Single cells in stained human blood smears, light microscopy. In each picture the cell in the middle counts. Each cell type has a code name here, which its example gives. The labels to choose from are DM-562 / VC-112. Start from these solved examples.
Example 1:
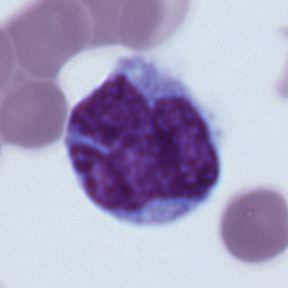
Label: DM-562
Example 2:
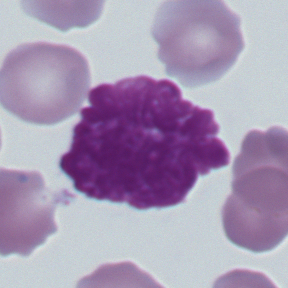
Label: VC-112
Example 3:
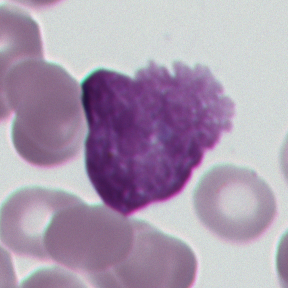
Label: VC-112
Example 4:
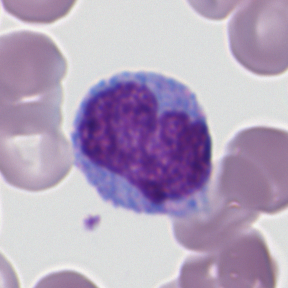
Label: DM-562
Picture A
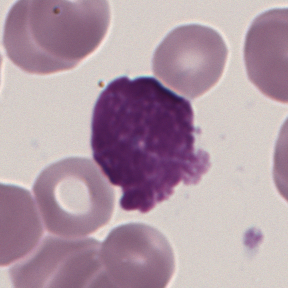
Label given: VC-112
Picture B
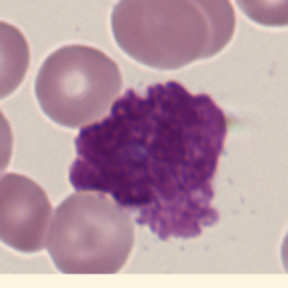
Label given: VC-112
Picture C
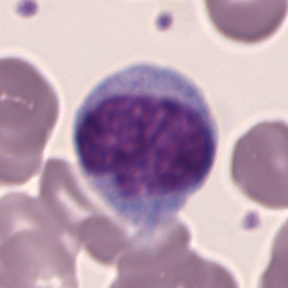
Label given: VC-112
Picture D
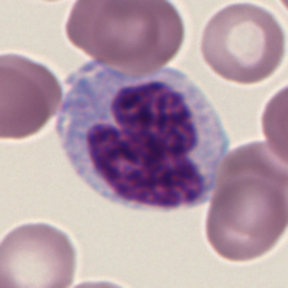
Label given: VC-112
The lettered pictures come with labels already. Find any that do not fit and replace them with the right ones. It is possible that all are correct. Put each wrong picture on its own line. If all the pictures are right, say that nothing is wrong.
C: DM-562, not VC-112
D: DM-562, not VC-112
